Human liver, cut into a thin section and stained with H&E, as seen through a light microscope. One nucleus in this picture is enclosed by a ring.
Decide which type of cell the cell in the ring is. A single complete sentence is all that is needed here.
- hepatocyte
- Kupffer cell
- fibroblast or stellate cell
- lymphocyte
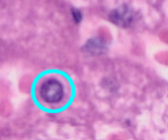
The classification of the cell in the ring is as a hepatocyte.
